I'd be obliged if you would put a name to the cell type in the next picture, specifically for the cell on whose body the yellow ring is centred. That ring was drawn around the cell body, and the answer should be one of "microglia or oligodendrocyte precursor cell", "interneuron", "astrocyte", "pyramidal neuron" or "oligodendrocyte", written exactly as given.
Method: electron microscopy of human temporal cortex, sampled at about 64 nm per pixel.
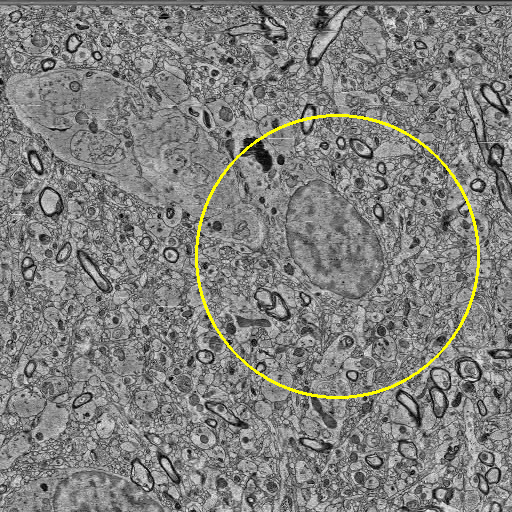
oligodendrocyte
